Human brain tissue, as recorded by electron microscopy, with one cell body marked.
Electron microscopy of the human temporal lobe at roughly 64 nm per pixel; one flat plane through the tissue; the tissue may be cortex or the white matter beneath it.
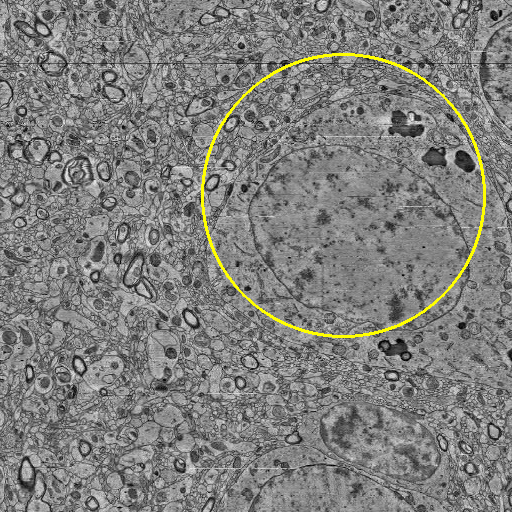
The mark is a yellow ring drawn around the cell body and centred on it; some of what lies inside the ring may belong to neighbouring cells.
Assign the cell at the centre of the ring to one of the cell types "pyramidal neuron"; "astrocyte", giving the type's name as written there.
pyramidal neuron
